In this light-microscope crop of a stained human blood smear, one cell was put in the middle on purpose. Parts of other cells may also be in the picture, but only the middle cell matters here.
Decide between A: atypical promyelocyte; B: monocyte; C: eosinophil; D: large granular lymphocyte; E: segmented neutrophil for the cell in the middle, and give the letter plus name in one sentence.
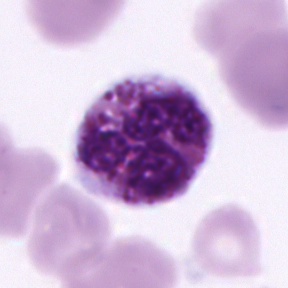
The cell placed in the middle is an eosinophil; option C is correct.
